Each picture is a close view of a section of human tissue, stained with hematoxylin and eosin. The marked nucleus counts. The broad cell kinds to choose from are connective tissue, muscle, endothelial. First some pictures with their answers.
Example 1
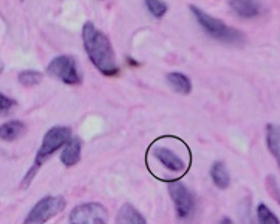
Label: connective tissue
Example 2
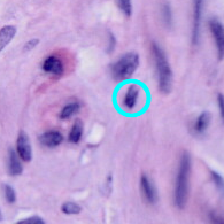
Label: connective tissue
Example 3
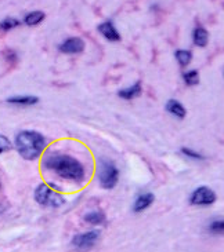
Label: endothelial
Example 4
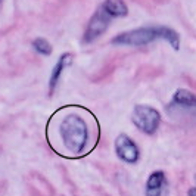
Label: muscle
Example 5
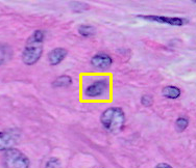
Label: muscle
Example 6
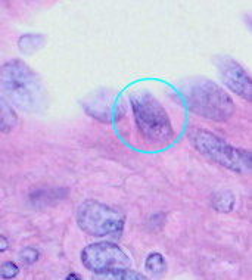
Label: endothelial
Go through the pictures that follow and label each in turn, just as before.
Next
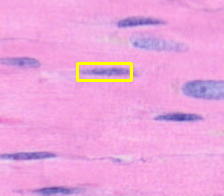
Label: connective tissue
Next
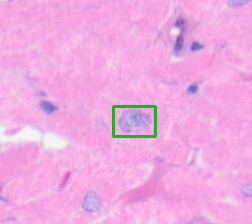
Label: muscle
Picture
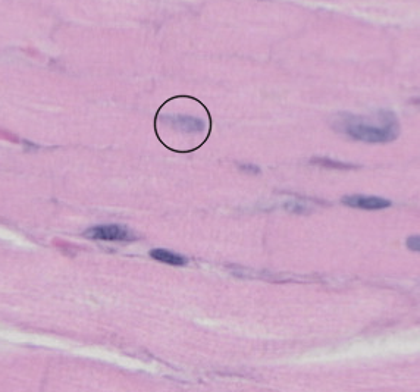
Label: connective tissue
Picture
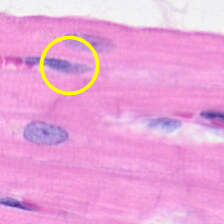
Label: endothelial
